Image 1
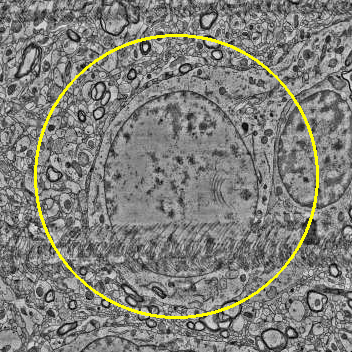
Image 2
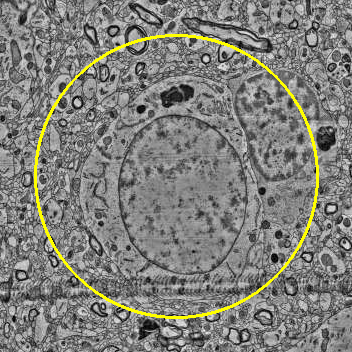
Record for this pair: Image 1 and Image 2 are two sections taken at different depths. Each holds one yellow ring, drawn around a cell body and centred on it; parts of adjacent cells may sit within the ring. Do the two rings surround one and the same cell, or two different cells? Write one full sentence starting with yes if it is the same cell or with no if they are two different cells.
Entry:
Yes, the same cell has been marked in both yellow rings.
